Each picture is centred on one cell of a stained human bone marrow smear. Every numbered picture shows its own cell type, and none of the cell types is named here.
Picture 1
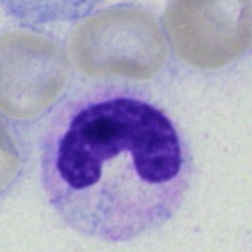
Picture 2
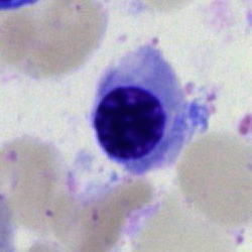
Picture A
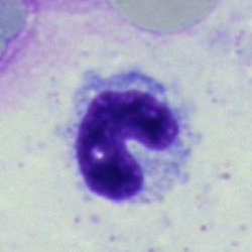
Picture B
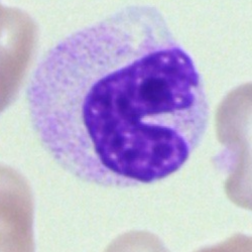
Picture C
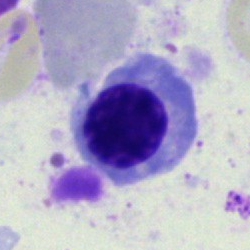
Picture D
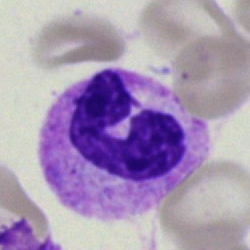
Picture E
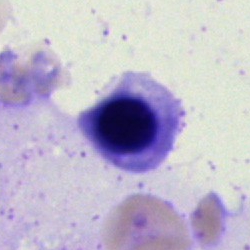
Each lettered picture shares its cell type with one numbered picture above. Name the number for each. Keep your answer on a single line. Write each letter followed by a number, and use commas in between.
A 1, B 1, C 2, D 1, E 2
